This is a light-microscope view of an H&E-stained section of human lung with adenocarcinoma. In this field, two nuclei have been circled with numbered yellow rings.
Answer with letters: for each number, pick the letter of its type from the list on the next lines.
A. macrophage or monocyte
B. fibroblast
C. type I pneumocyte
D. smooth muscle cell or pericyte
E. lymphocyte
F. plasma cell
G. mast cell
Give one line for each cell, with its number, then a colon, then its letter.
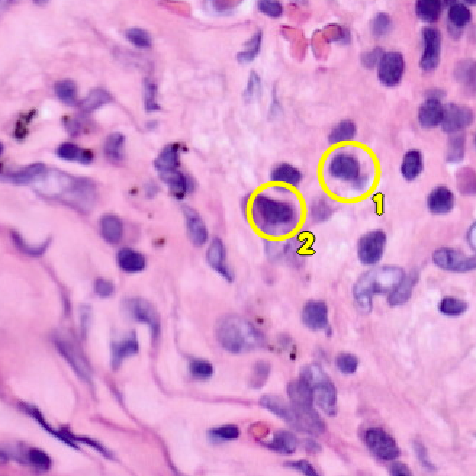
1: E
2: F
